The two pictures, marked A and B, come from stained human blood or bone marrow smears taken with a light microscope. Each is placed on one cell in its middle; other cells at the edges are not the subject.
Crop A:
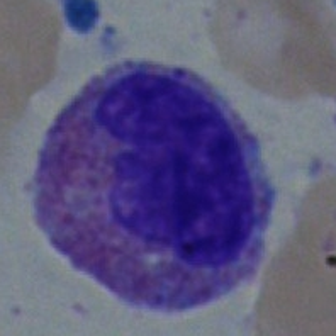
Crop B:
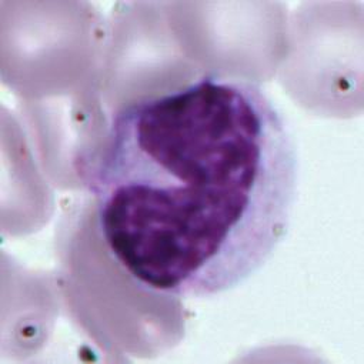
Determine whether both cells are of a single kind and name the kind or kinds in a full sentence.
No, the cell in crop A is an eosinophil and the one in crop B is a band neutrophil.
